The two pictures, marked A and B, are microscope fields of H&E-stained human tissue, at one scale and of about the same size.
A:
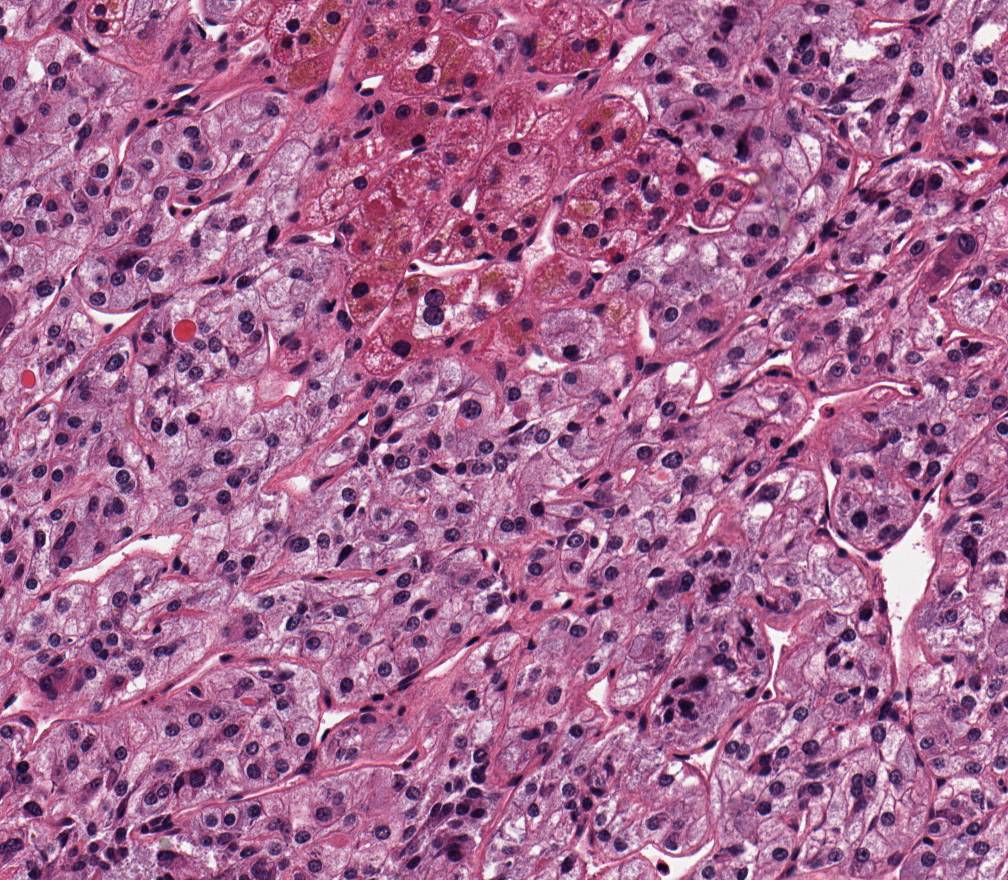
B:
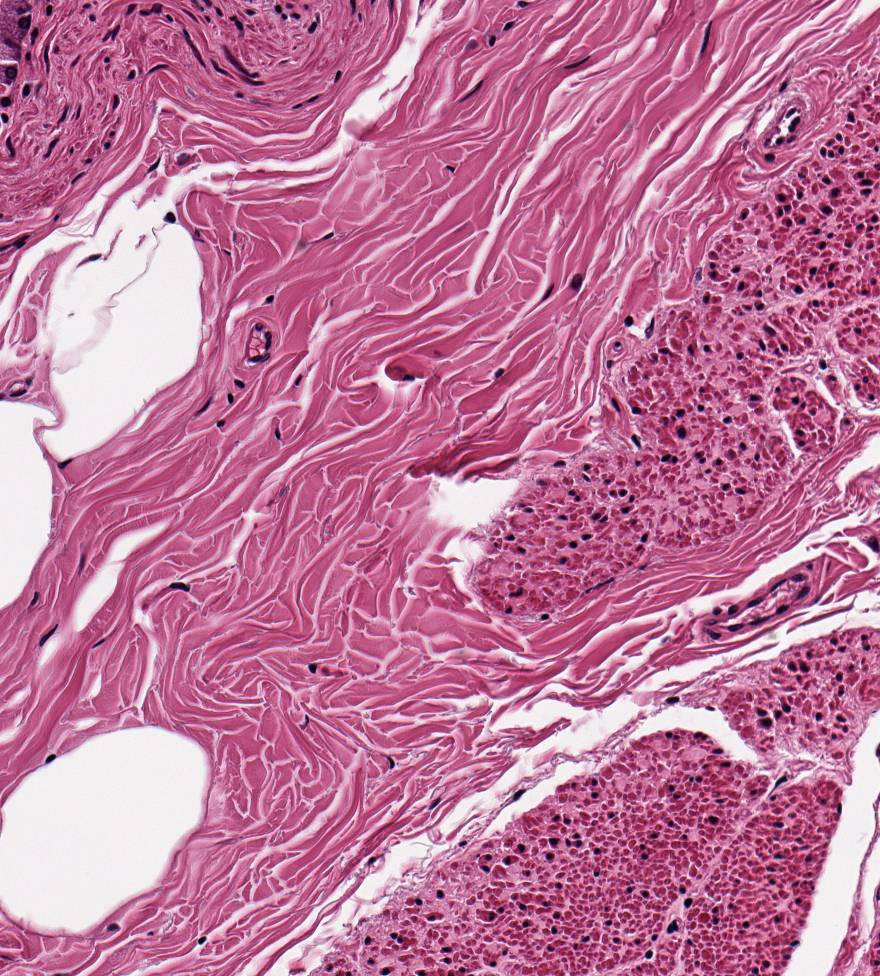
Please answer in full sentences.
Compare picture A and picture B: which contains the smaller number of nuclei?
It is picture B that has fewer nuclei in it.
